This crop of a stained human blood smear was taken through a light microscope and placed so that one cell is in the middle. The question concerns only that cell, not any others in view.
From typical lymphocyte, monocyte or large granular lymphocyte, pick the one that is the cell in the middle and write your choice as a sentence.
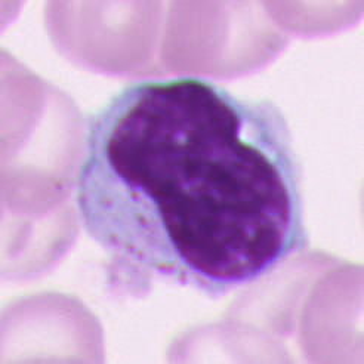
The target cell in the middle of the crop is a large granular lymphocyte.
